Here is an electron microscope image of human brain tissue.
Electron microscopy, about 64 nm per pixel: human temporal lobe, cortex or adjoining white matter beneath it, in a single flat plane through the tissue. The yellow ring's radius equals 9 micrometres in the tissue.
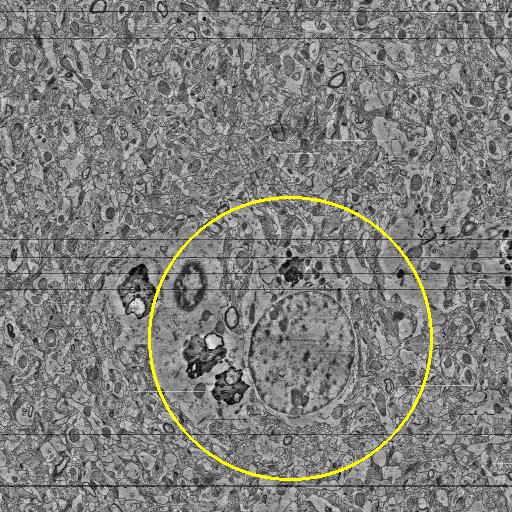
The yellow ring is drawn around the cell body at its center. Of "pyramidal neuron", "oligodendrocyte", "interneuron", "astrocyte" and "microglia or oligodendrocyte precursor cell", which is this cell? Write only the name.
astrocyte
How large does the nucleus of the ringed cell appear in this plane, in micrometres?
In this plane the nucleus is about 8 micrometres by 7.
